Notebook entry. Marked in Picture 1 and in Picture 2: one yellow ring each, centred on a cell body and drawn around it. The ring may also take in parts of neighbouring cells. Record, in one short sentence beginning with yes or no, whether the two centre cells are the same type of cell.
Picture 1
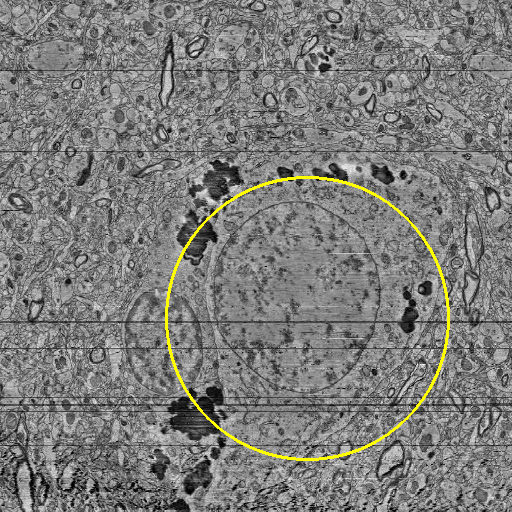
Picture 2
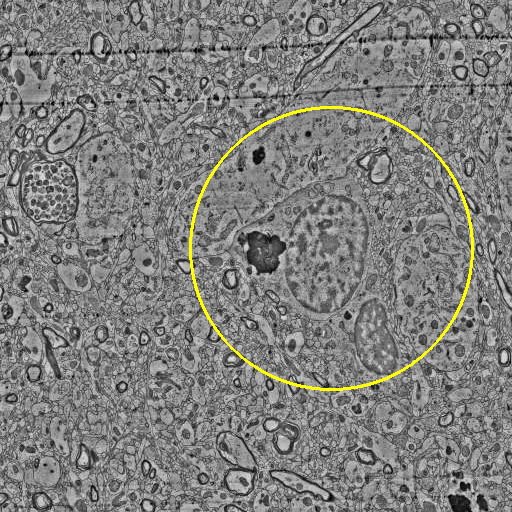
No, they are two types of cell.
